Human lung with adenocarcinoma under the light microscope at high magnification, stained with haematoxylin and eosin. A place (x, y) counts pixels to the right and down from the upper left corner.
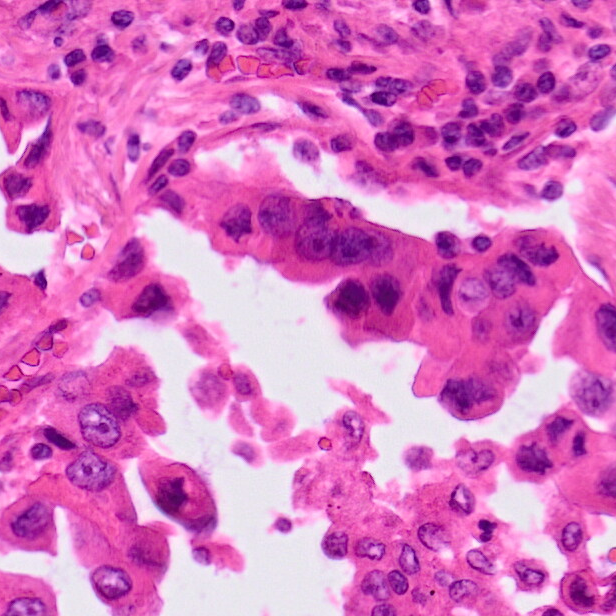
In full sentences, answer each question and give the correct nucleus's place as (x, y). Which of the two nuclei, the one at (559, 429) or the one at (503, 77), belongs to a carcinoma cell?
Assigned to a carcinoma cell is the nucleus located at (559, 429).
